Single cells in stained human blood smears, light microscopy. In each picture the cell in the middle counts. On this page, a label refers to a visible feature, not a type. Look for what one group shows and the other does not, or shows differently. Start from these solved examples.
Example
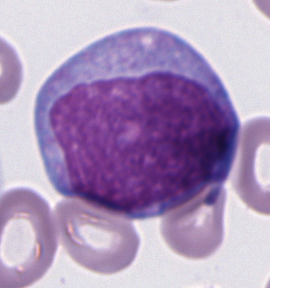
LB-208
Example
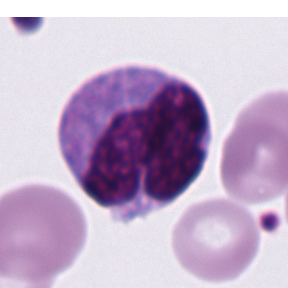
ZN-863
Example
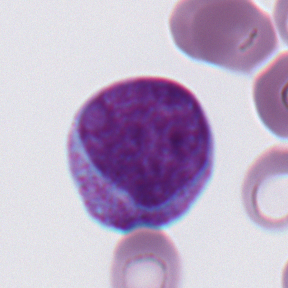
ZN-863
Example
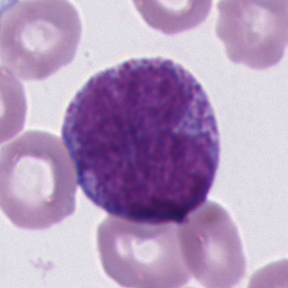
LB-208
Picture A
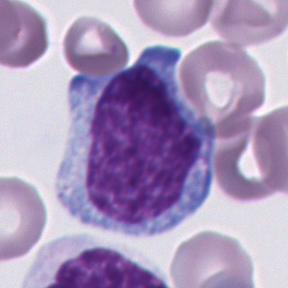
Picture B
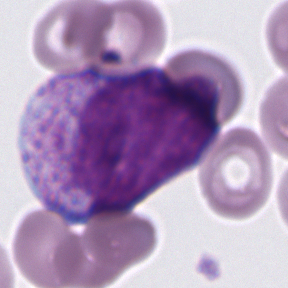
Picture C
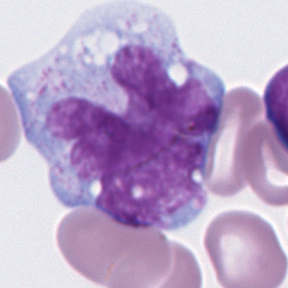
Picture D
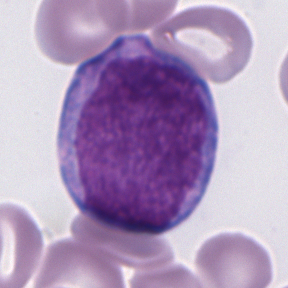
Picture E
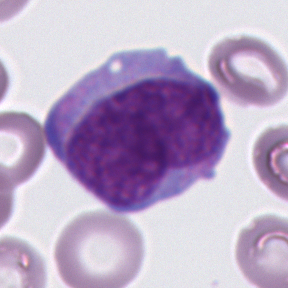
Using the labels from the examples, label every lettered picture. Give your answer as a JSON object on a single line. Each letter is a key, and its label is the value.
{"A": "LB-208", "B": "ZN-863", "C": "ZN-863", "D": "LB-208", "E": "LB-208"}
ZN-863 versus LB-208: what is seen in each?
Seen in ZN-863: many visible granules; seen in LB-208: no visible granules.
